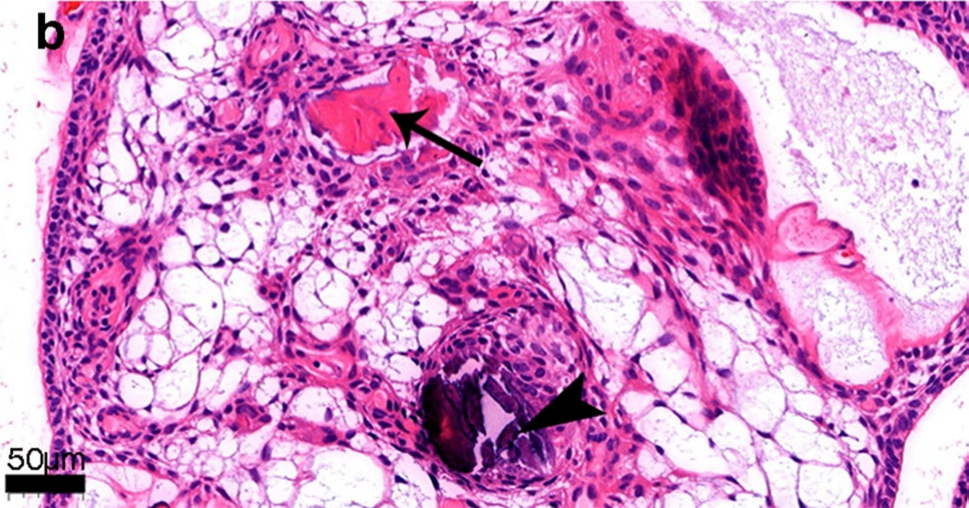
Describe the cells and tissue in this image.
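This is the solid part of the tumour, made of epithelium with a loose stellate, vacuolated texture: many clear, rounded spaces separated by thin strands of cells with small oval nuclei. Bordering the tissue are rows of more densely packed cells with dark nuclei. Scattered through it are compact clusters of spindle-shaped cells. Near the top lies a bright pink, glassy mass without nuclei, wet keratin, set within a nest of cells. Lower down, a rounded whorled nest encloses a dark purple to black, cracked deposit of calcification. At the right a pale, finely granular material fills a space.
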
